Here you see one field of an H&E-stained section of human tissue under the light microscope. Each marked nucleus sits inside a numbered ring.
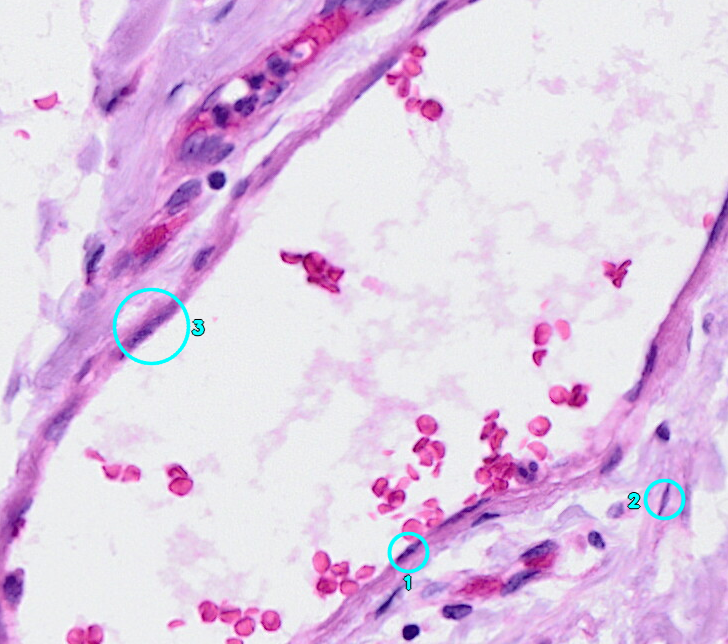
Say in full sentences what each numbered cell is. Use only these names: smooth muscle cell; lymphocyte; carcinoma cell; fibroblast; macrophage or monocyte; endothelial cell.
Cell 1 is an endothelial cell, cell 2 is a fibroblast and cell 3 is an endothelial cell.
